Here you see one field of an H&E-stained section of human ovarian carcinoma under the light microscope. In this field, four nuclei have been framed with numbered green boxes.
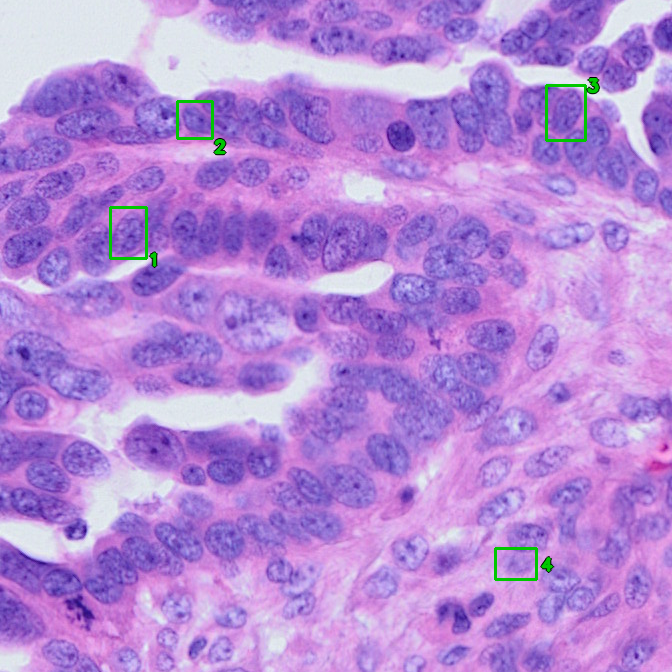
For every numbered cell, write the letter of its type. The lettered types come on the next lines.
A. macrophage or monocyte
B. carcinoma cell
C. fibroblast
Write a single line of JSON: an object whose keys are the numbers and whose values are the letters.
{"1": "B", "2": "B", "3": "B", "4": "C"}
